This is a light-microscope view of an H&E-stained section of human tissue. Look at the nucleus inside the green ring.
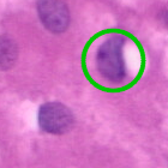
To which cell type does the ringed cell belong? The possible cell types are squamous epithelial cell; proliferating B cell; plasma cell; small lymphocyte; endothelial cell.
squamous epithelial cell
